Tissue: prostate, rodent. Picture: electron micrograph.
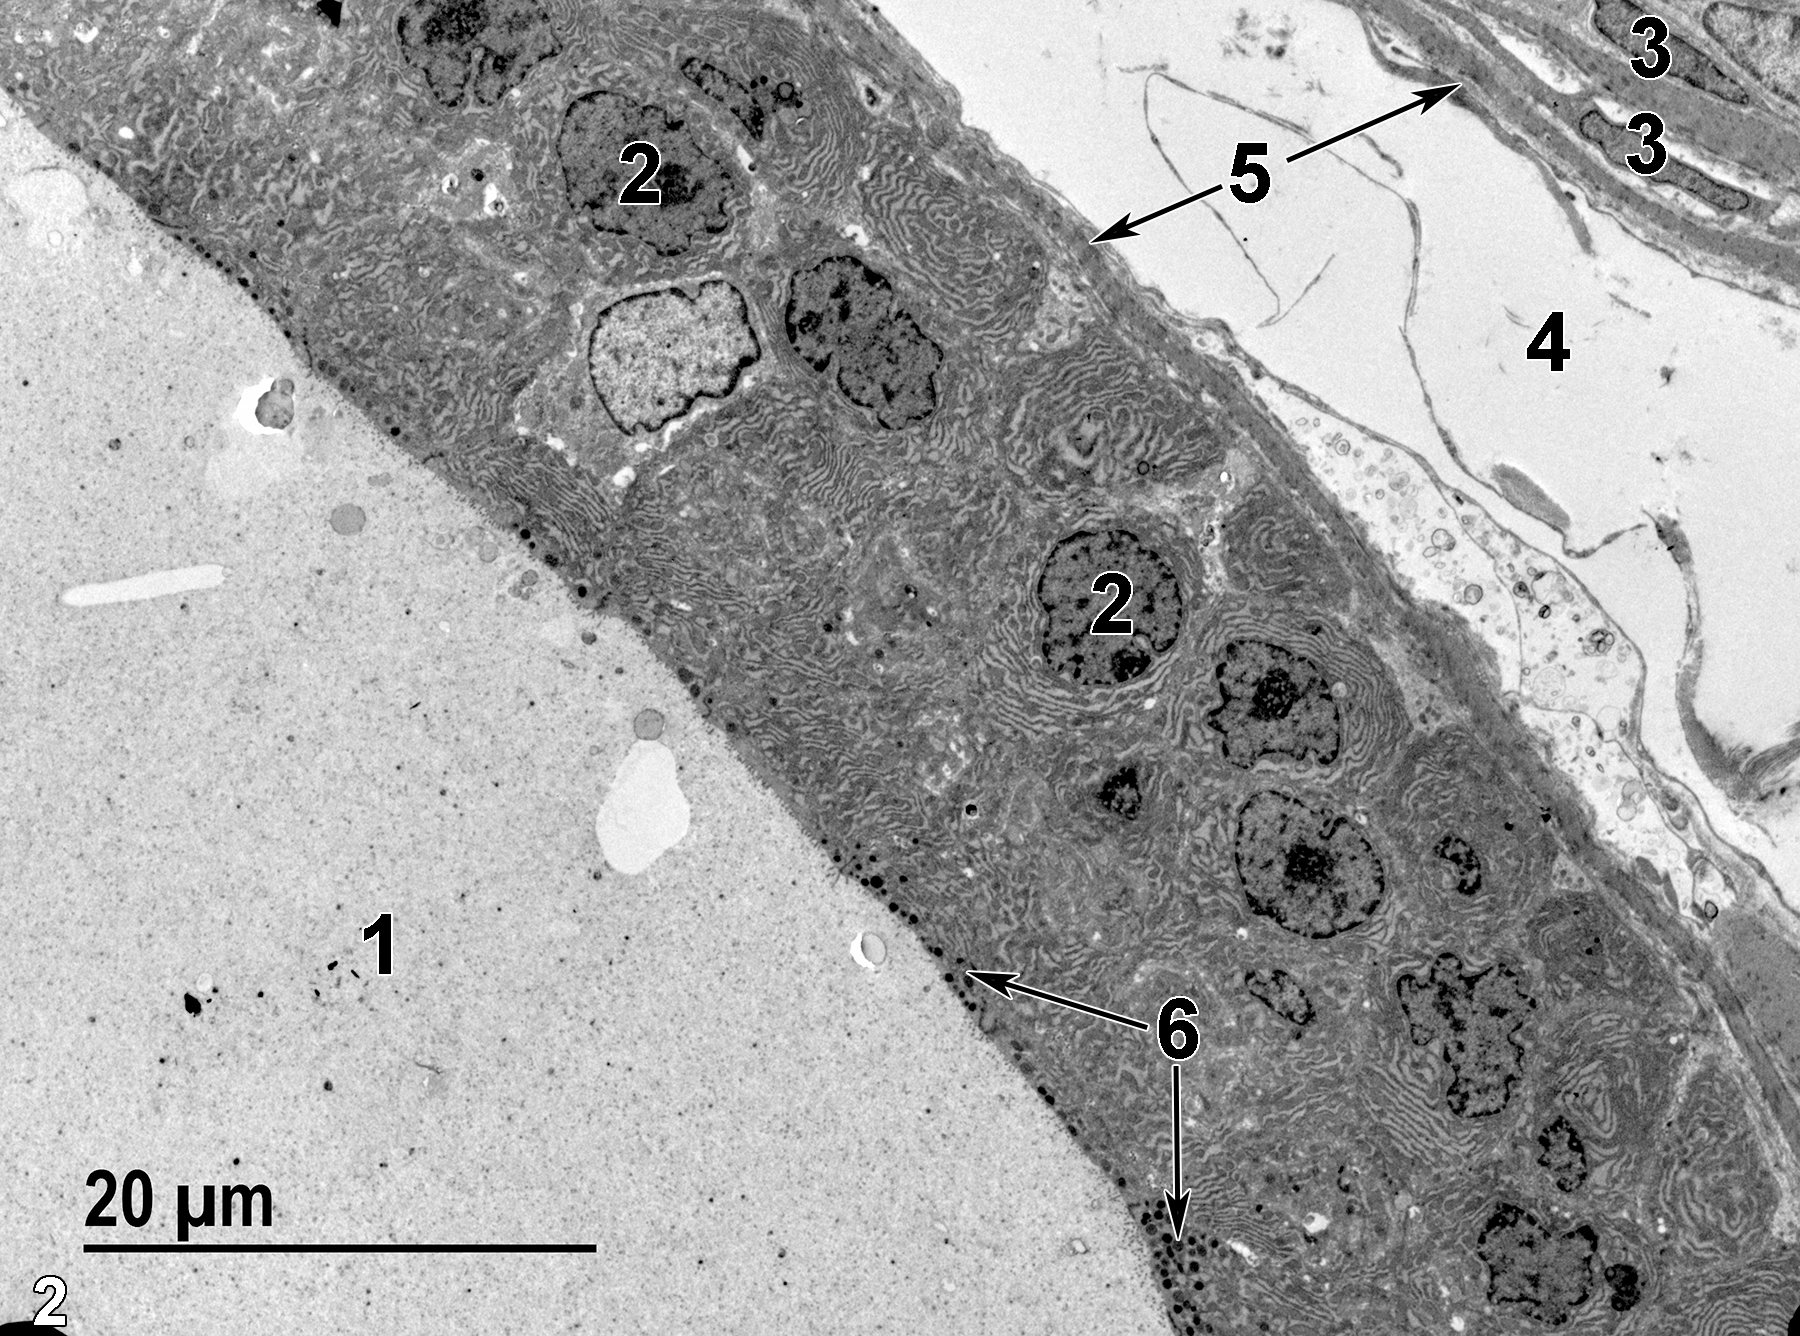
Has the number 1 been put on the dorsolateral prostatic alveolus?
Yes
